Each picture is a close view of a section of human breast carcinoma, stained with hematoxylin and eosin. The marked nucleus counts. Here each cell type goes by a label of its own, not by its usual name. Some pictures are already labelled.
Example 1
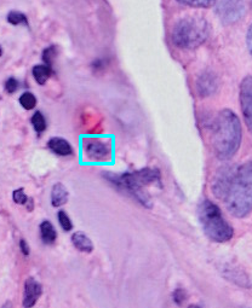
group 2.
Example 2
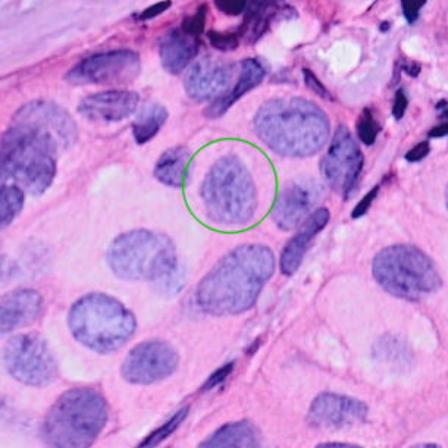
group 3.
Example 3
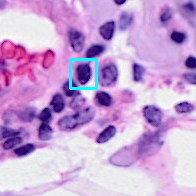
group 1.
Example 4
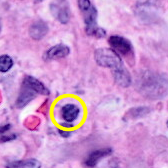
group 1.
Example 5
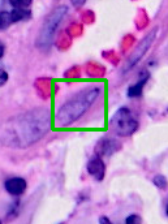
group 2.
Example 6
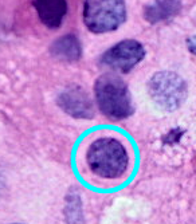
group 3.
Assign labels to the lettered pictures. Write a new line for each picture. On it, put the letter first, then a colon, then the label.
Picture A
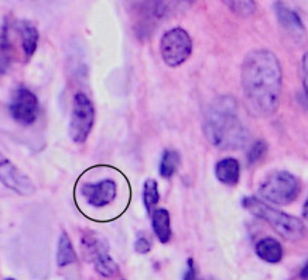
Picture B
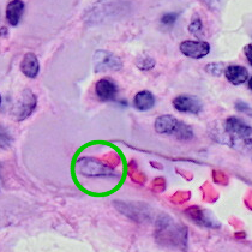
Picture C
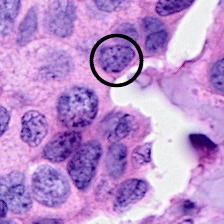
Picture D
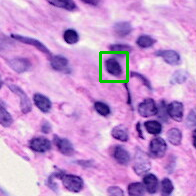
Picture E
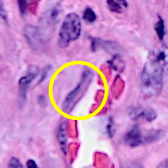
A: group 1.
B: group 2.
C: group 3.
D: group 1.
E: group 2.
